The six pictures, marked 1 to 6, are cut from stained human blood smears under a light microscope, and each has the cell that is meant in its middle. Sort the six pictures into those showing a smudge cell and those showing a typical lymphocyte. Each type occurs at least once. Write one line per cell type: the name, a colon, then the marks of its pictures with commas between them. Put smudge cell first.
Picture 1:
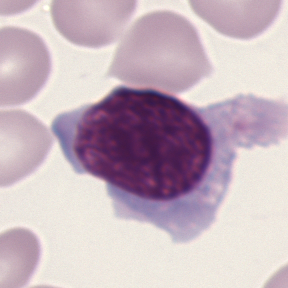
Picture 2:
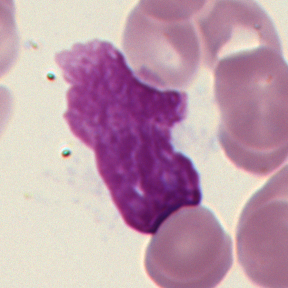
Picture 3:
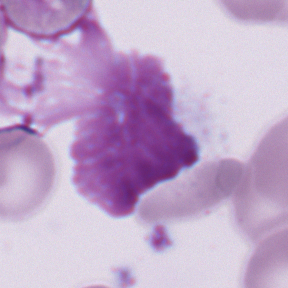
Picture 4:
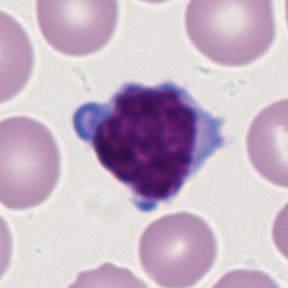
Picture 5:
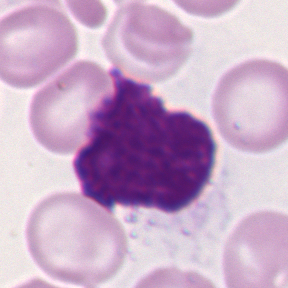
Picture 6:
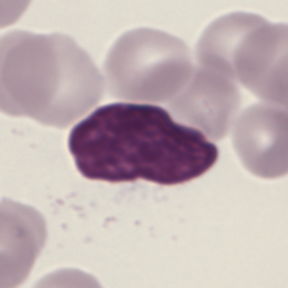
smudge cell: 2, 3, 5, 6
typical lymphocyte: 1, 4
